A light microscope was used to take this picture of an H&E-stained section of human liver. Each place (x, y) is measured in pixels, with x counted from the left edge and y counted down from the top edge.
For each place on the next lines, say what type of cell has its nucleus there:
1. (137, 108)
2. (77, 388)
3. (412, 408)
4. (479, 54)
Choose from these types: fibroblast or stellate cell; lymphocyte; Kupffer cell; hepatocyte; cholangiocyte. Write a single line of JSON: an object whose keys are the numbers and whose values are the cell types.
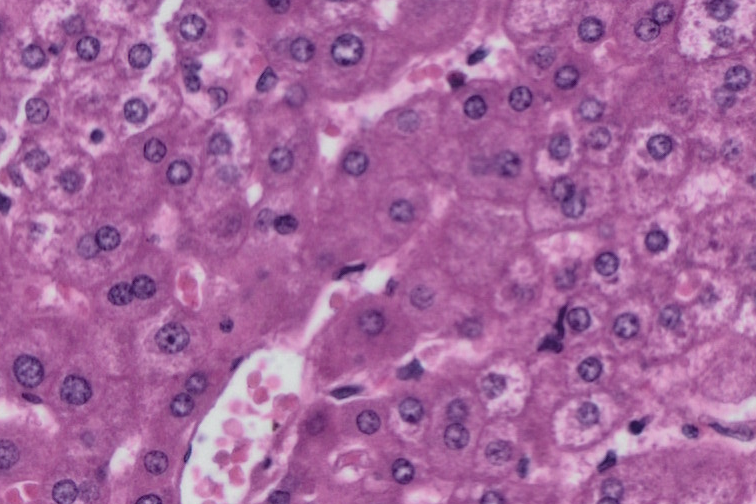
{"1": "hepatocyte", "2": "hepatocyte", "3": "hepatocyte", "4": "lymphocyte"}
